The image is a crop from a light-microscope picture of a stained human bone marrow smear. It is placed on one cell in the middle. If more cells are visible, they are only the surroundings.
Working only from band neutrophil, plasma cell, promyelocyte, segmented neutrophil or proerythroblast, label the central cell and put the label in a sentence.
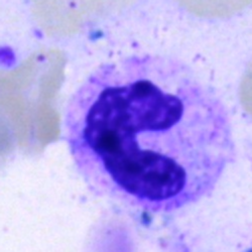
As for the central cell, it is a band neutrophil.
